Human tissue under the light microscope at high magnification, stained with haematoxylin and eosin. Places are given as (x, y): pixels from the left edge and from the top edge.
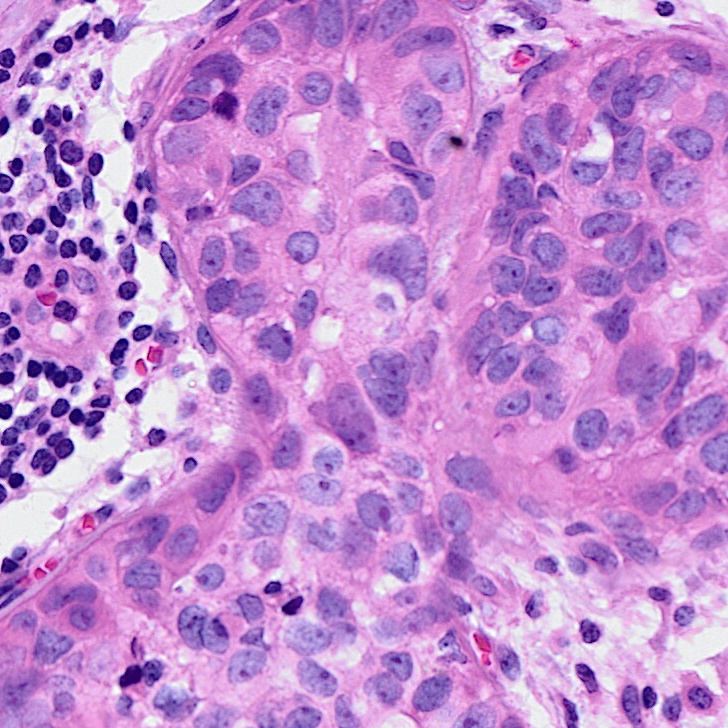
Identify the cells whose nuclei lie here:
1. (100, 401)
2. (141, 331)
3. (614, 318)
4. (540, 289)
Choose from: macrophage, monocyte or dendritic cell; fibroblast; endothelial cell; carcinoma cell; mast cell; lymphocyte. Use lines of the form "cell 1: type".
cell 1: lymphocyte
cell 2: lymphocyte
cell 3: carcinoma cell
cell 4: carcinoma cell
